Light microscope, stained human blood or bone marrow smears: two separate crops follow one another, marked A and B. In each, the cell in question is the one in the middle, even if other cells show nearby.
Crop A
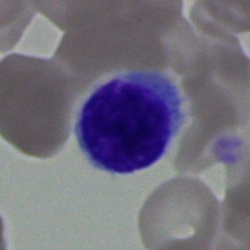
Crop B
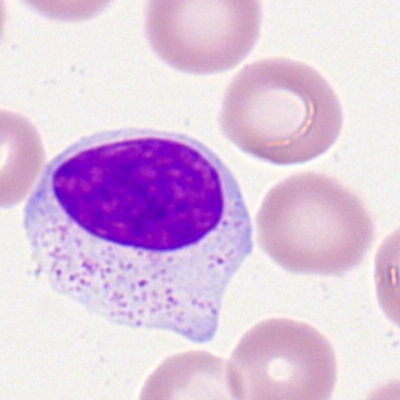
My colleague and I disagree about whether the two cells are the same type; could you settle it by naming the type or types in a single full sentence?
Yes, lymphocytes are the cells in the middle of both crops.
